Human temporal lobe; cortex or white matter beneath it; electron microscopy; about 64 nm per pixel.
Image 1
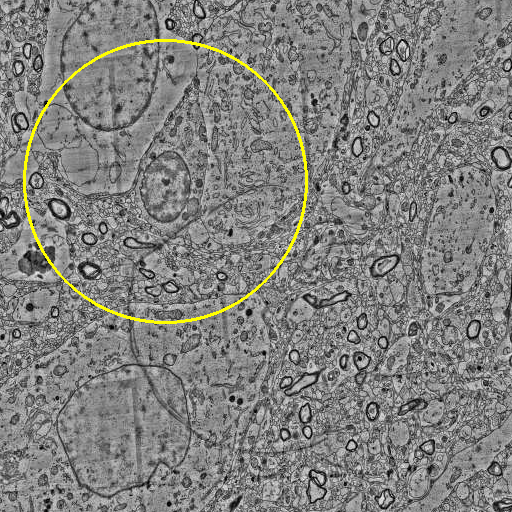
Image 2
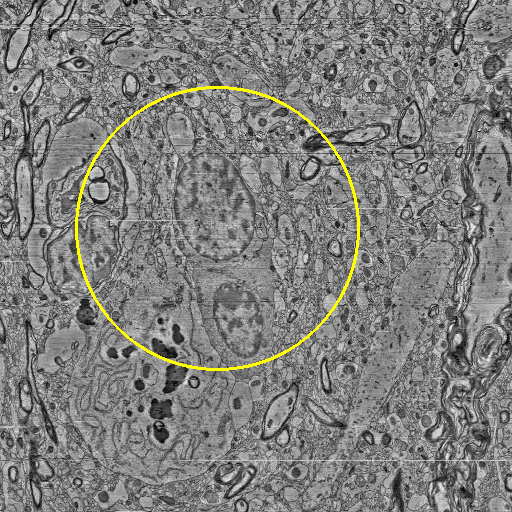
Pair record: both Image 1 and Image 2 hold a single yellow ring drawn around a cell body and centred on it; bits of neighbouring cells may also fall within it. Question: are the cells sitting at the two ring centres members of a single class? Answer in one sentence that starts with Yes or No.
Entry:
Yes, both ring-centre cells in Image 1 and Image 2 are members of one class.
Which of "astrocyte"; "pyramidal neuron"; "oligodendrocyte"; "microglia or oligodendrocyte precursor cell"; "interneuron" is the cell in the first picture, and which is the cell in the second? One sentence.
Each cell, in the first picture and the second, is an oligodendrocyte.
